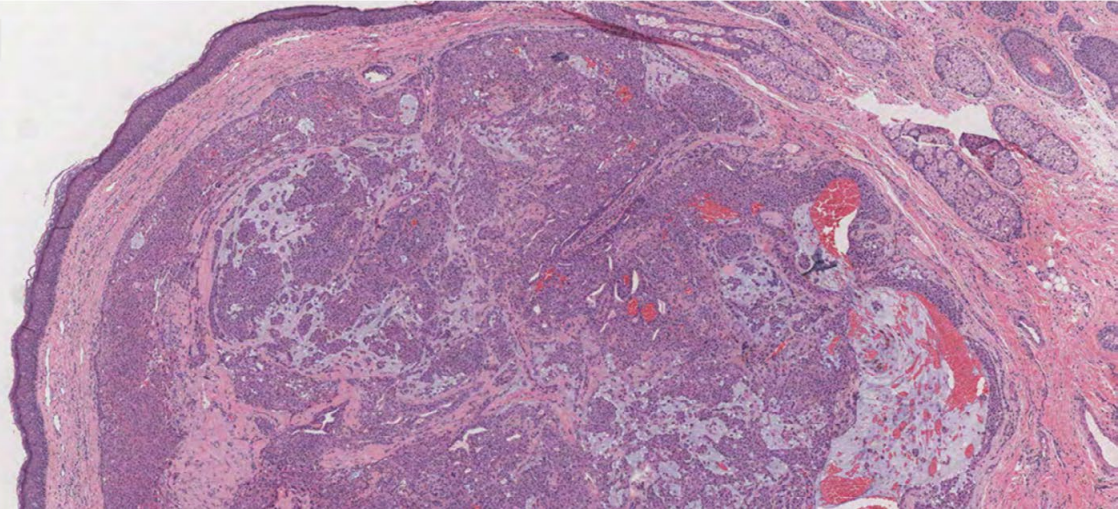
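A dermal, unencapsulated tumour lies beneath a thin, stretched epidermis and is built of large lobules of tightly packed cells with dark blue nuclei and scant cytoplasm. Thin pink fibrous septa separate the lobules. At the upper right, outside the tumour, lie normal glandular lobules of pale vacuolated cells within pink dermal collagen.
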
